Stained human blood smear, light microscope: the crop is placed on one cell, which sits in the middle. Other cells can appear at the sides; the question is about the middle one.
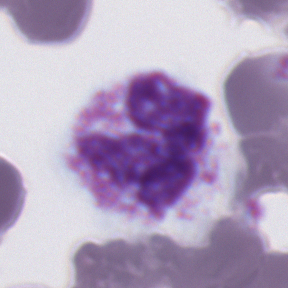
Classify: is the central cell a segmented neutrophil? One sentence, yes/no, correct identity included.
Yes, the cell in the central position is a segmented neutrophil.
